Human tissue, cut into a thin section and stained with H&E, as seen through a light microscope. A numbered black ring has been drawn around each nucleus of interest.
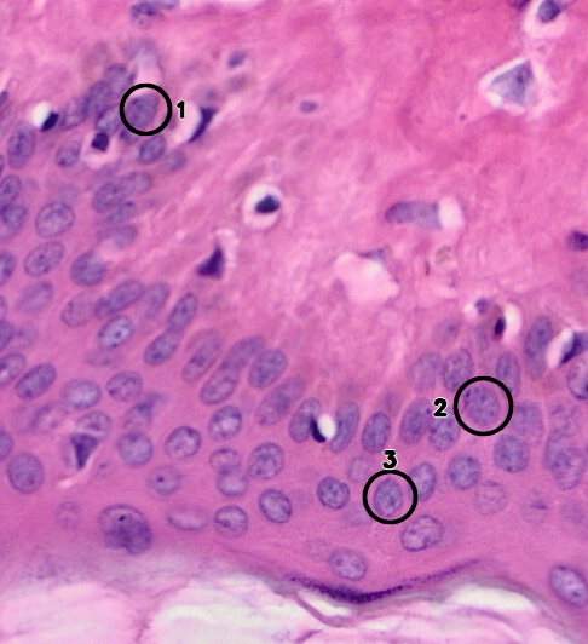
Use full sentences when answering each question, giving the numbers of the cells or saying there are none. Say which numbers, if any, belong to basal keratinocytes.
Only cell 1 is a basal keratinocyte; none of the other numbered cells is.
